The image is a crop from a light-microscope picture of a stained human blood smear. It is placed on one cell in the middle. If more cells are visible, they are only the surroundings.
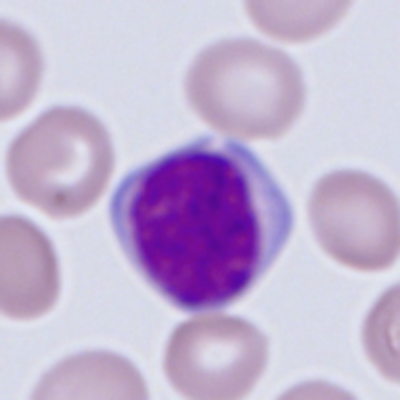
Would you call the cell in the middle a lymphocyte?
yes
